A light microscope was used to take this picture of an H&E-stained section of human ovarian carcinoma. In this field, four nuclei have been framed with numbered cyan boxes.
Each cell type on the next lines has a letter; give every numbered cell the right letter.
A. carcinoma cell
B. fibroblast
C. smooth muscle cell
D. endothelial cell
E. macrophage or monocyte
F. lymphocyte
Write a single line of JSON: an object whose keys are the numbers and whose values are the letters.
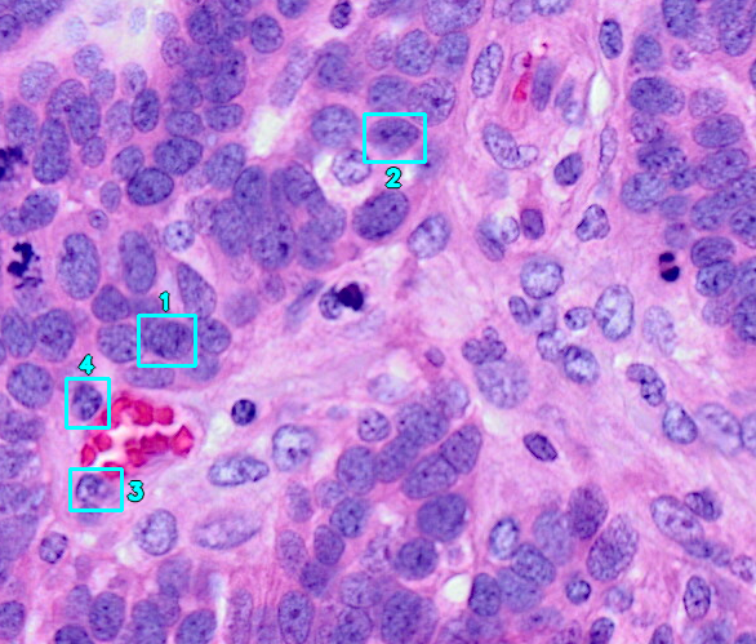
{"1": "A", "2": "A", "3": "D", "4": "E"}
